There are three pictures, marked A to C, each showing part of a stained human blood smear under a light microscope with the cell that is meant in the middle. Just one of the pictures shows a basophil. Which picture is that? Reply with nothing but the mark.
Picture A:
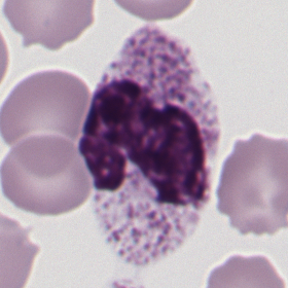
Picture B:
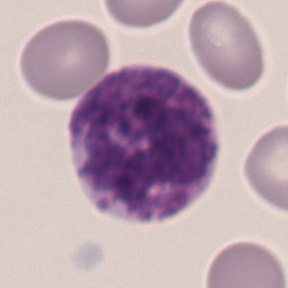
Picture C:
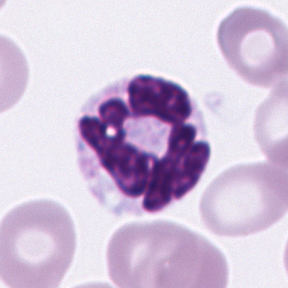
B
